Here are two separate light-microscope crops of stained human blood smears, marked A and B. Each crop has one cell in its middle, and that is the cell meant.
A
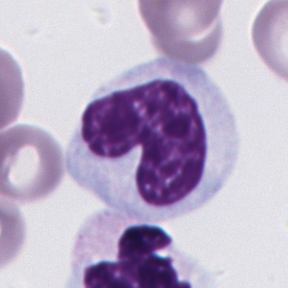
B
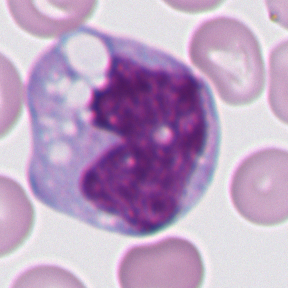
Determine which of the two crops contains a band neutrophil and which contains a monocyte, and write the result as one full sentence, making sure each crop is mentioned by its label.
Crop A features a band neutrophil, and crop B features a monocyte.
